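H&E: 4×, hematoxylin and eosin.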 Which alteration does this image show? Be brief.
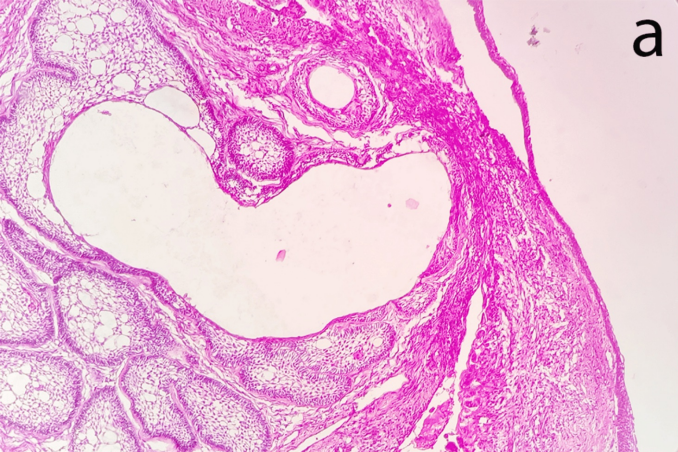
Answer: Mural proliferation.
